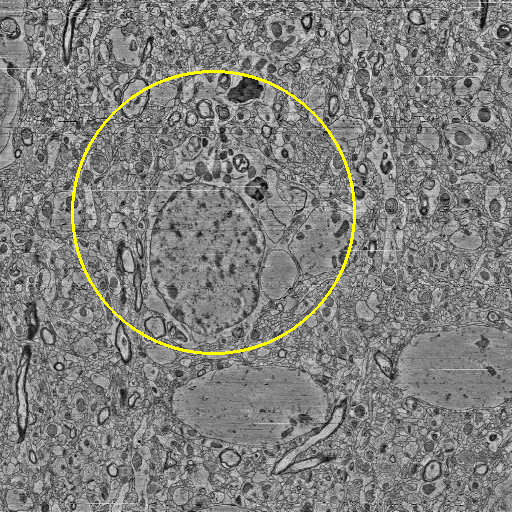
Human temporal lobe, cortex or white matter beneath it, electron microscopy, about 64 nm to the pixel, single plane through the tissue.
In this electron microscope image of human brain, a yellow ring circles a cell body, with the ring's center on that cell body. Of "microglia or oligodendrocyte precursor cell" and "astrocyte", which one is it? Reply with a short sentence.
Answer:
It is an astrocyte at the center of the ring.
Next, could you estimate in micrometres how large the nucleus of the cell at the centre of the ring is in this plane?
About 10 by 8 micrometres in this plane.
